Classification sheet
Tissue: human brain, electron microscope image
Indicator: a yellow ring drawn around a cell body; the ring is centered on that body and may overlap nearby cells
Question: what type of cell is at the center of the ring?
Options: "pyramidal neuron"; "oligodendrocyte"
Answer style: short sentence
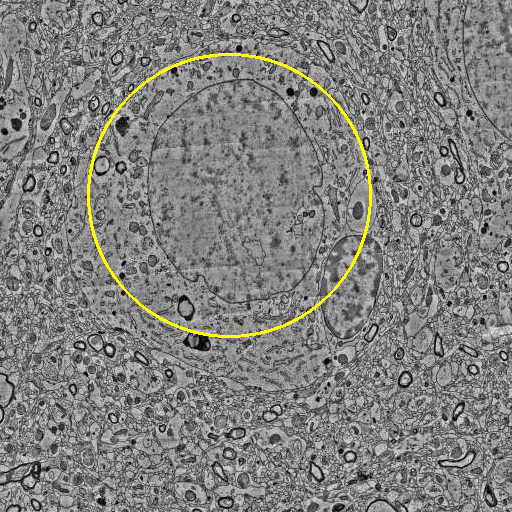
At the ring's center is a pyramidal neuron.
